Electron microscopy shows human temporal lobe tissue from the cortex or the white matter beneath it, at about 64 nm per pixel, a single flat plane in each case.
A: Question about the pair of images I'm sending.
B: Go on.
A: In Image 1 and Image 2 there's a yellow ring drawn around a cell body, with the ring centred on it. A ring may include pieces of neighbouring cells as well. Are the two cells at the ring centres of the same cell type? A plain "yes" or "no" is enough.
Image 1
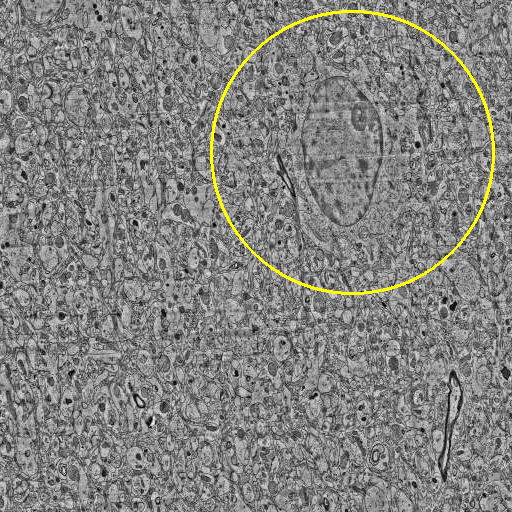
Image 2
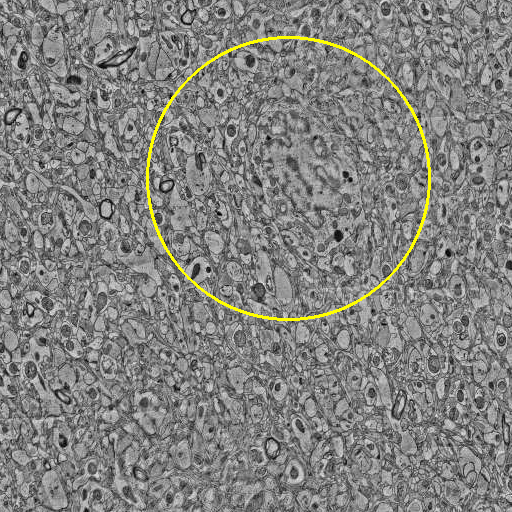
no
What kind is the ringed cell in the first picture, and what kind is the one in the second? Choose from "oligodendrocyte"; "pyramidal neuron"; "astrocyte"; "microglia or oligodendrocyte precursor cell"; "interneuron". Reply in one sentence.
The first cell is an astrocyte; the second is an interneuron.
